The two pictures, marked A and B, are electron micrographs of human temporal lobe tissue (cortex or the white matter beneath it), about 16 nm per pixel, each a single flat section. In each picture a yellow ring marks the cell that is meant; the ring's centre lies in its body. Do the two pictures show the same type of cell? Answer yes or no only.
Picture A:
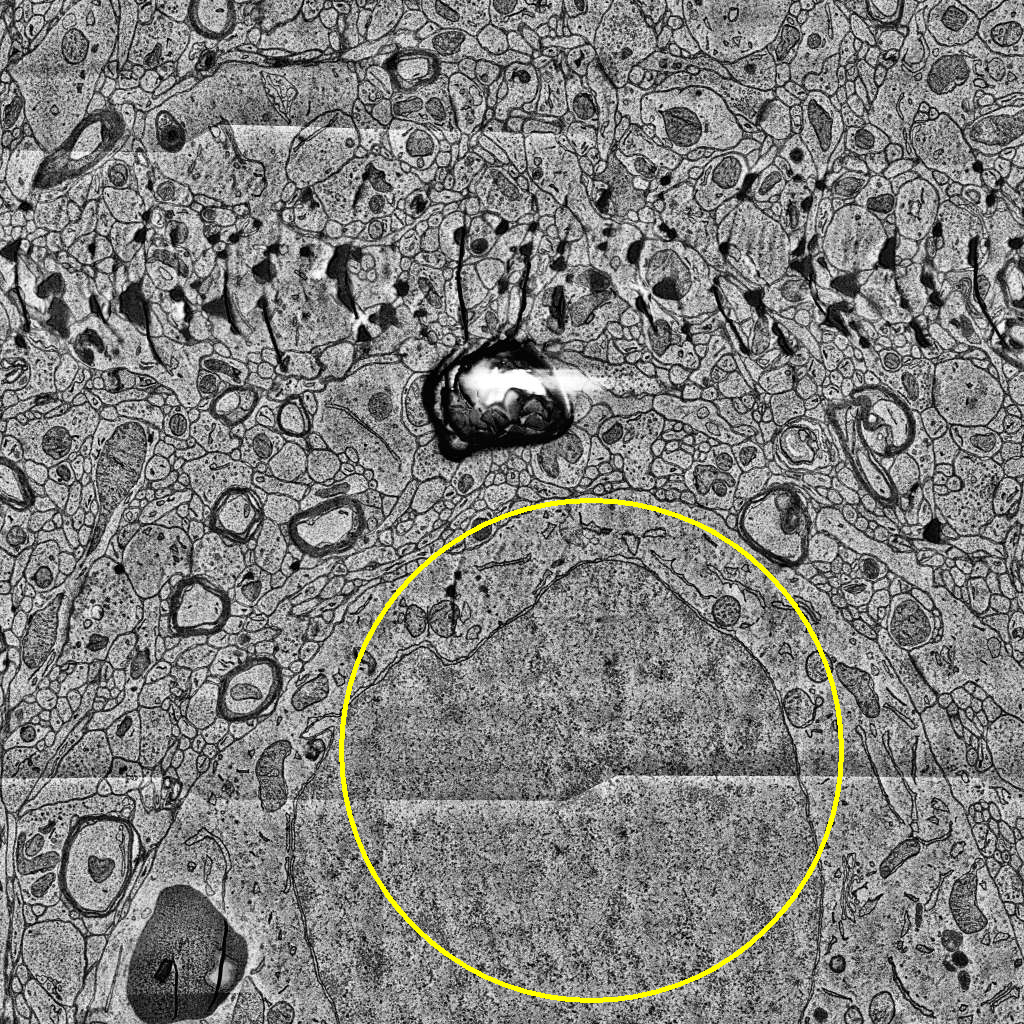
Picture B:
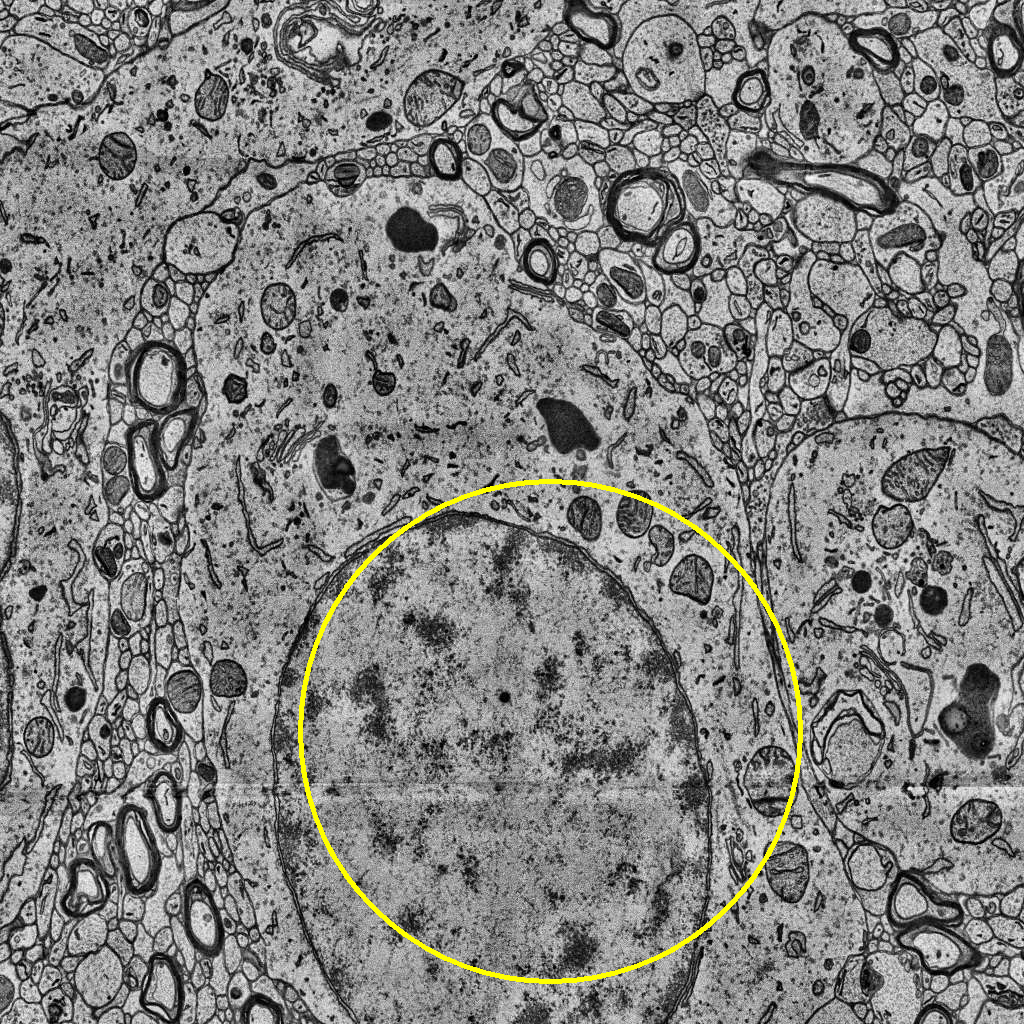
yes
